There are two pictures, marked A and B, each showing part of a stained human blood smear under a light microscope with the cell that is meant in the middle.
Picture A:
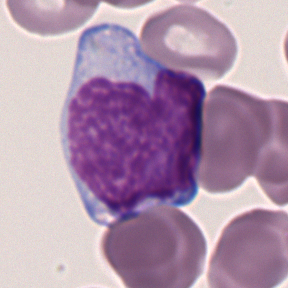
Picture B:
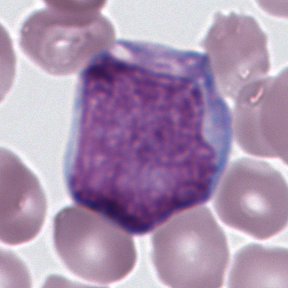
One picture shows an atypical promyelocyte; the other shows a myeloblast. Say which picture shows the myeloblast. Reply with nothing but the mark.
A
